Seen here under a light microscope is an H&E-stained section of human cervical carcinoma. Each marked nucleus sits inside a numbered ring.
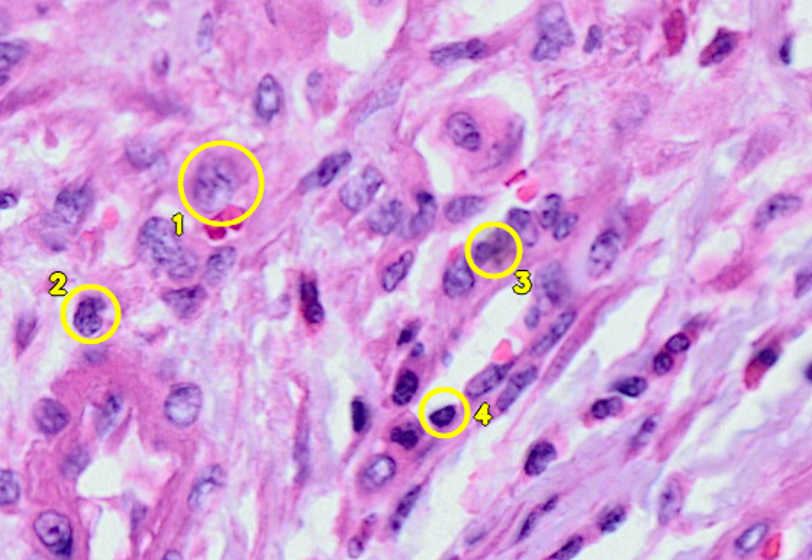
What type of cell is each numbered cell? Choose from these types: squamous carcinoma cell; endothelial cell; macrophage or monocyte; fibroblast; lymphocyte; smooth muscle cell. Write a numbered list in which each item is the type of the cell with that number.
1. endothelial cell
2. lymphocyte
3. endothelial cell
4. lymphocyte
